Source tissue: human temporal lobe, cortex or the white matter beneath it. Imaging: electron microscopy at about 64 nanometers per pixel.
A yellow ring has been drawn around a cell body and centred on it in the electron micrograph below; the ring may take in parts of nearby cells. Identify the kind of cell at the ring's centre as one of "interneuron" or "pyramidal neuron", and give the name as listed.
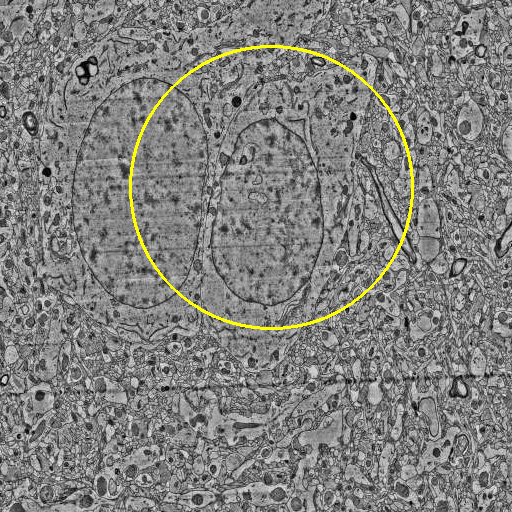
pyramidal neuron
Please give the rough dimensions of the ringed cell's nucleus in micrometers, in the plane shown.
The ringed cell's nucleus is roughly 12 by 7 micrometres and clearly longer than it is wide in this plane.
